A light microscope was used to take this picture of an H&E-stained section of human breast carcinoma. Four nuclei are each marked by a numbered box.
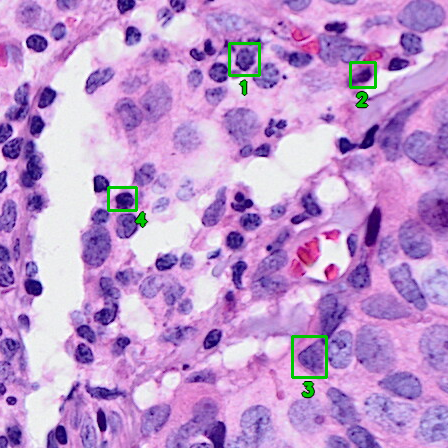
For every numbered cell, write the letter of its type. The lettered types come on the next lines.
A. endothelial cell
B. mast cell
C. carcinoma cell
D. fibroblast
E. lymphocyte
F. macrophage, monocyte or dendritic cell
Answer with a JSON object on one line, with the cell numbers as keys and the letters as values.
{"1": "E", "2": "A", "3": "C", "4": "E"}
